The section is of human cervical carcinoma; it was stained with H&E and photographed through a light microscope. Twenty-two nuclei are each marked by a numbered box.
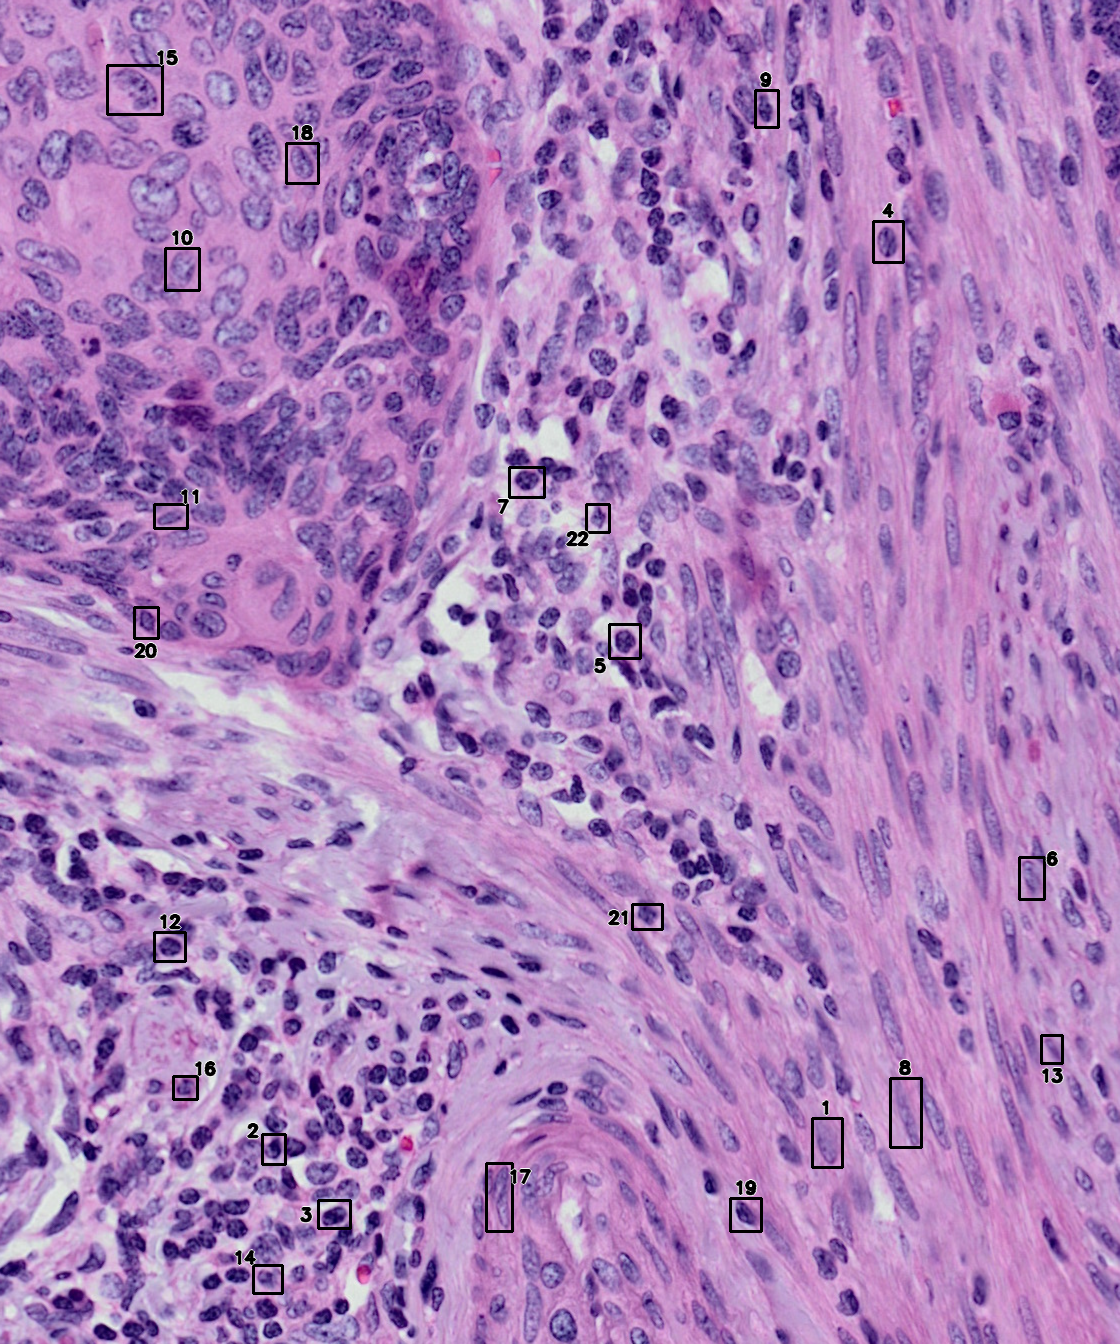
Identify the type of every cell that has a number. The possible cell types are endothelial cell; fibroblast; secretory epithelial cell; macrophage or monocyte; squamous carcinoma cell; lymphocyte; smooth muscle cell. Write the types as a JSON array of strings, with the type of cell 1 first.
["smooth muscle cell", "lymphocyte", "lymphocyte", "lymphocyte", "lymphocyte", "smooth muscle cell", "lymphocyte", "smooth muscle cell", "lymphocyte", "squamous carcinoma cell", "squamous carcinoma cell", "lymphocyte", "smooth muscle cell", "lymphocyte", "squamous carcinoma cell", "smooth muscle cell", "smooth muscle cell", "squamous carcinoma cell", "lymphocyte", "squamous carcinoma cell", "lymphocyte", "lymphocyte"]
